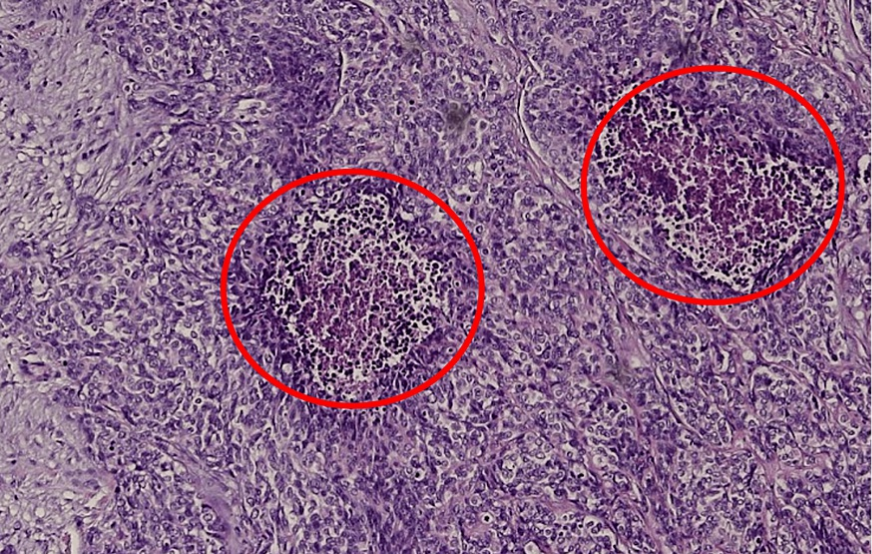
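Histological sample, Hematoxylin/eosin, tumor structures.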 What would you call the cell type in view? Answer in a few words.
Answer: small hyperchromic cells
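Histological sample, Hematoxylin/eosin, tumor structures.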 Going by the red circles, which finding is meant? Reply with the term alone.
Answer: Necrotic cells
